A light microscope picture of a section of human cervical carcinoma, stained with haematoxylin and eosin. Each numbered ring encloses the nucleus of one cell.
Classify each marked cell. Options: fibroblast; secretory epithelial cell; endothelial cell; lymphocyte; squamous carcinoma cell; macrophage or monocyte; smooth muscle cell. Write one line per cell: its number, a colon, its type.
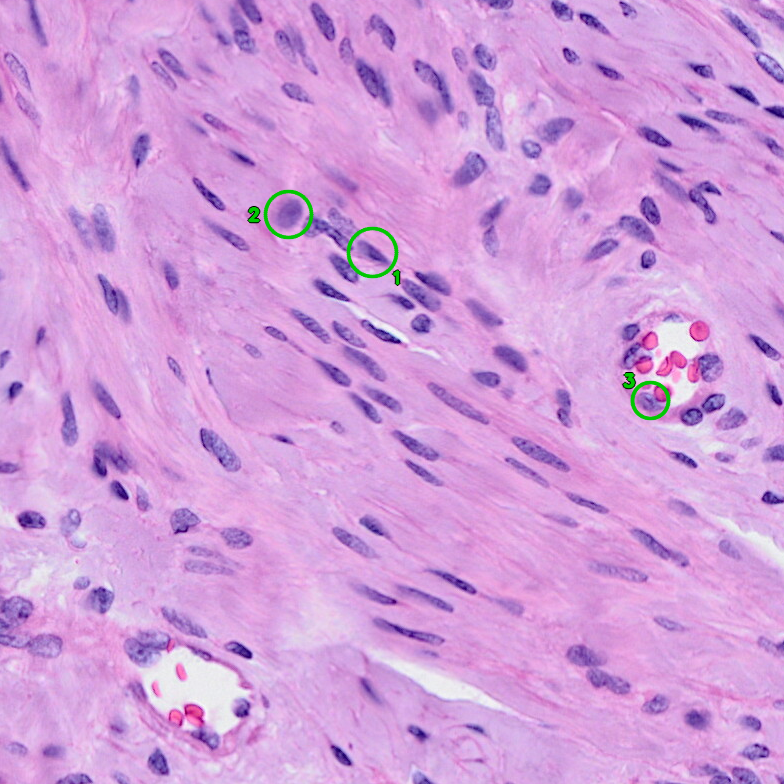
1: fibroblast
2: fibroblast
3: endothelial cell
